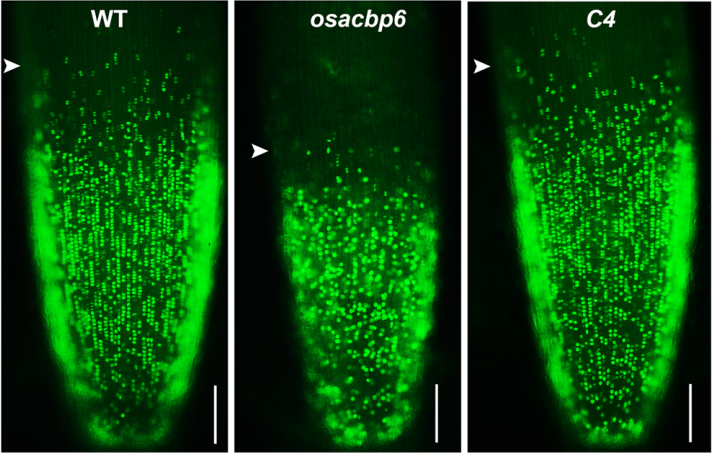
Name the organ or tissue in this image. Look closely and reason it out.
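Each image shows a tapering, rounded organ end. Small labeled nuclei are packed in longitudinal files inside the tapering end. That points to this answer: root tip.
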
